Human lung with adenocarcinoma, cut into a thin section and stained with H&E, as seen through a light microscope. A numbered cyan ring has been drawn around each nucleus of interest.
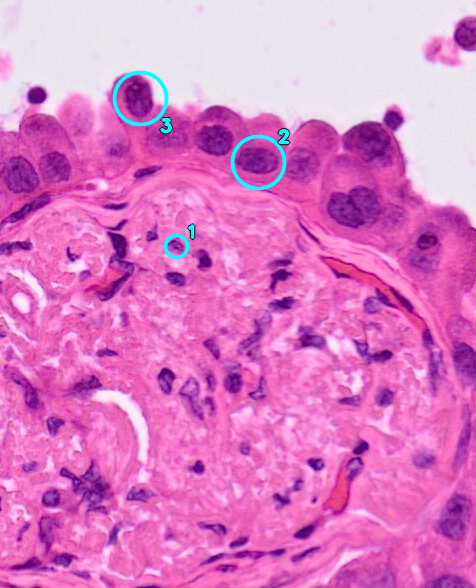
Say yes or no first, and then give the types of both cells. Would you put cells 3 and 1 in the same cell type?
No, the cell labelled 3 is a carcinoma cell; the cell labelled 1 is a smooth muscle cell or pericyte.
